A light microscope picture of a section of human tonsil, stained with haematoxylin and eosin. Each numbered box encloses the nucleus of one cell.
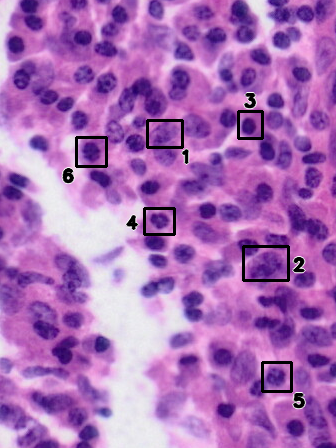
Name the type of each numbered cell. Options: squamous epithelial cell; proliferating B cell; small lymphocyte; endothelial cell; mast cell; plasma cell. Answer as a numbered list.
1. squamous epithelial cell
2. squamous epithelial cell
3. plasma cell
4. plasma cell
5. plasma cell
6. plasma cell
